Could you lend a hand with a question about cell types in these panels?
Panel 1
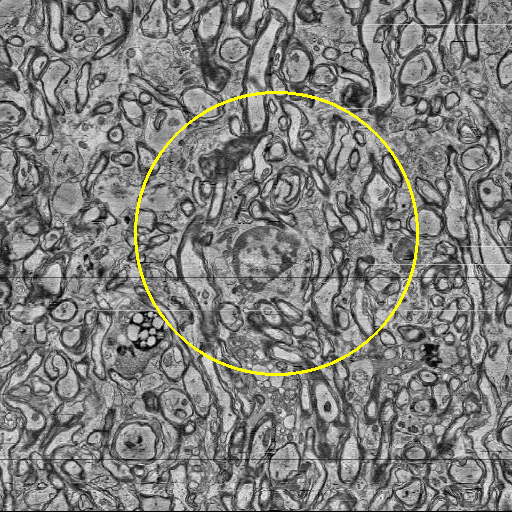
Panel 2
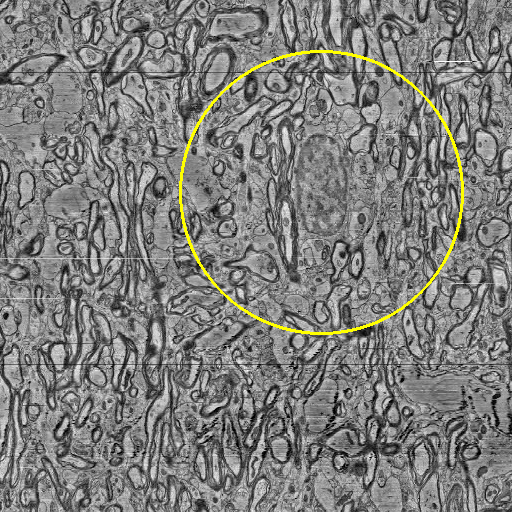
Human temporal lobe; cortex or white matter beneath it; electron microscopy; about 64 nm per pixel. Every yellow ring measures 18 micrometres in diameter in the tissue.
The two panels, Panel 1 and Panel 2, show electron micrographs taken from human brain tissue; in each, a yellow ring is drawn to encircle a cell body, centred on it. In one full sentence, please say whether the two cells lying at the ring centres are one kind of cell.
No, the cells at the ring centres in the two panels are two kinds of cell.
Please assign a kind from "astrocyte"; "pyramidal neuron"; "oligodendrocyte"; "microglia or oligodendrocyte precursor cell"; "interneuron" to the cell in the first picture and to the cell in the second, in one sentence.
In the first picture we have a microglial cell or oligodendrocyte precursor cell, and in the second, an oligodendrocyte.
